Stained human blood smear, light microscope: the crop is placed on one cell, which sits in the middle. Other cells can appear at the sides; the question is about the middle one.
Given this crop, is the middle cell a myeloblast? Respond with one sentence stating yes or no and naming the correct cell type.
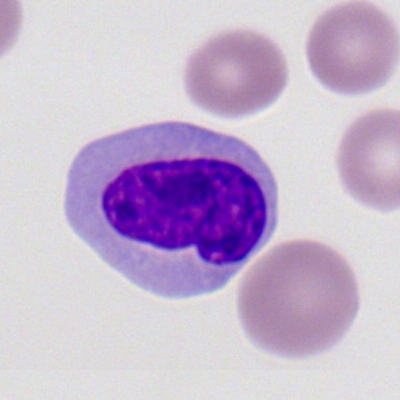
No, the central cell is not a myeloblast, being instead an erythroblast.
